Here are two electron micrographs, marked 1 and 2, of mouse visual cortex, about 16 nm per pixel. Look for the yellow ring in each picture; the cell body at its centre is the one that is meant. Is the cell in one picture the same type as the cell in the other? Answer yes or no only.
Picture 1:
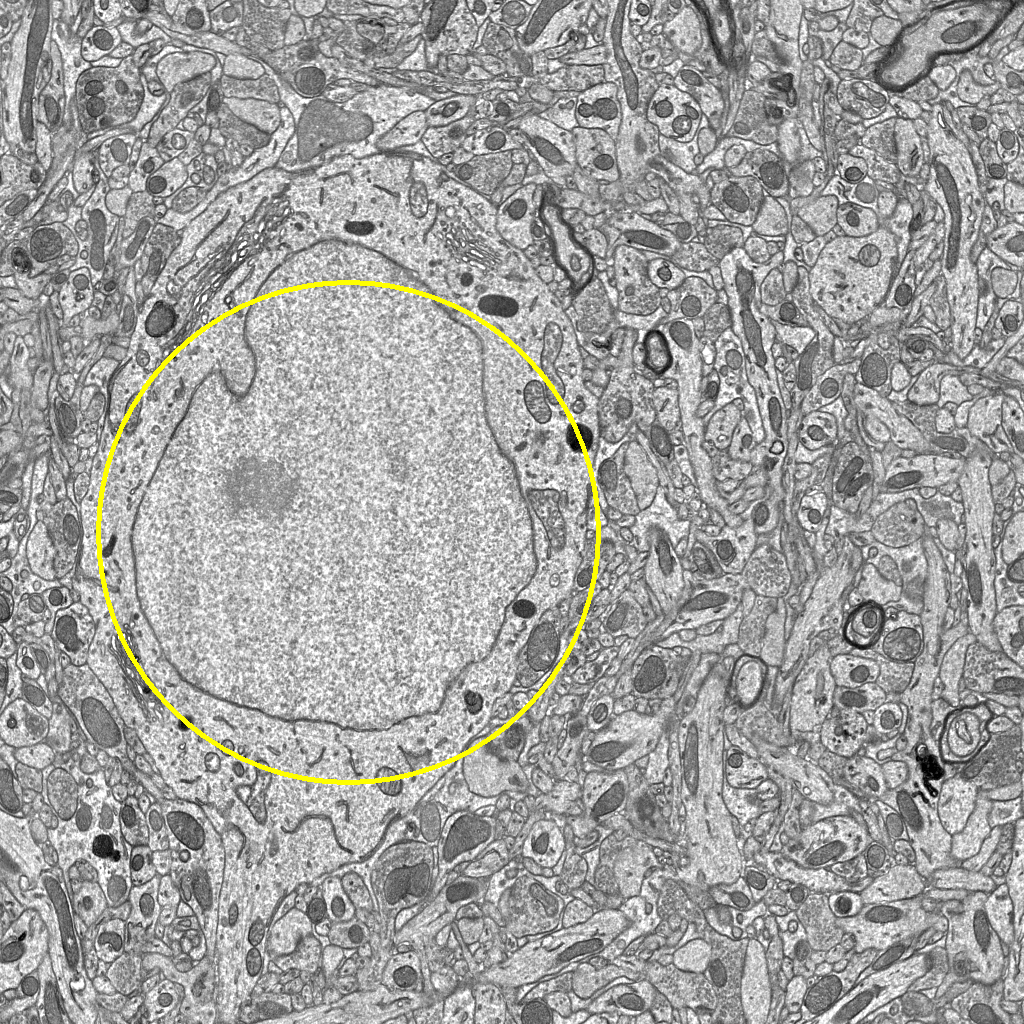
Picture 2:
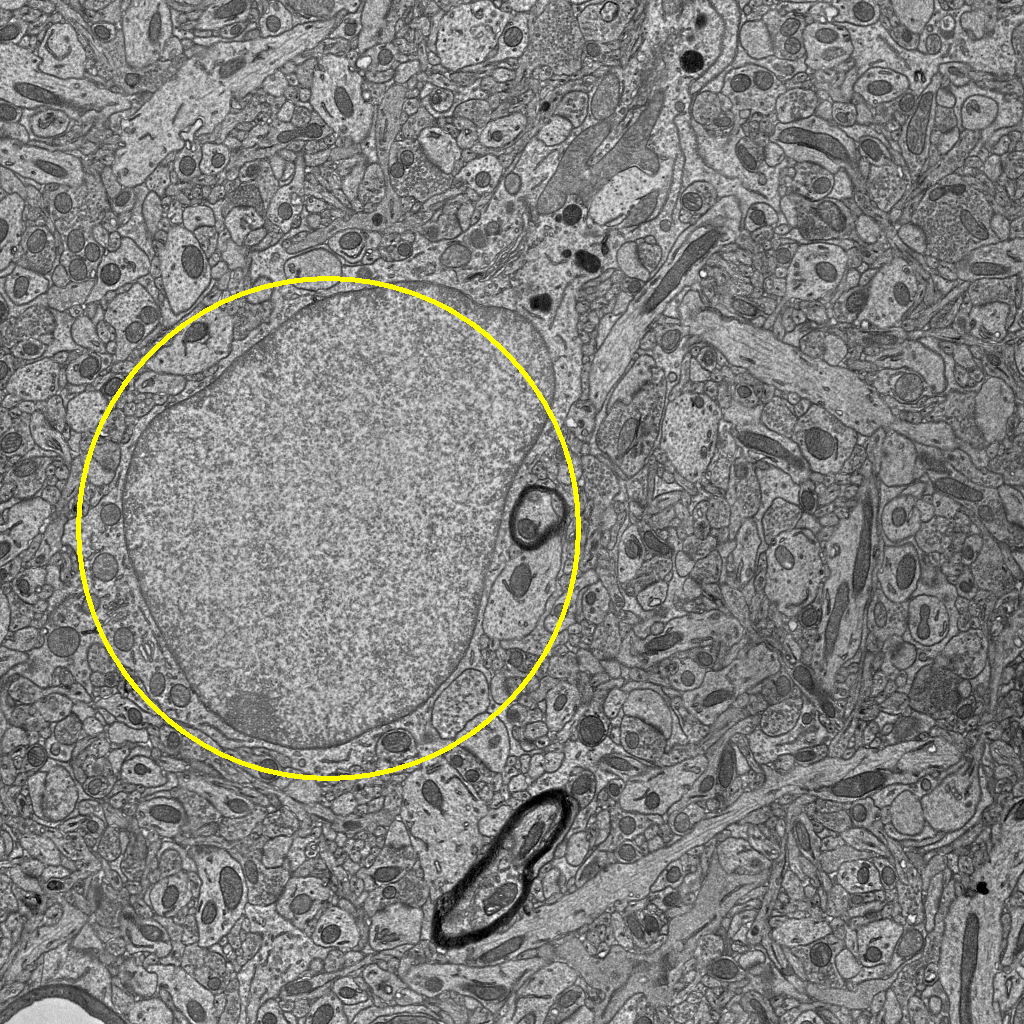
no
